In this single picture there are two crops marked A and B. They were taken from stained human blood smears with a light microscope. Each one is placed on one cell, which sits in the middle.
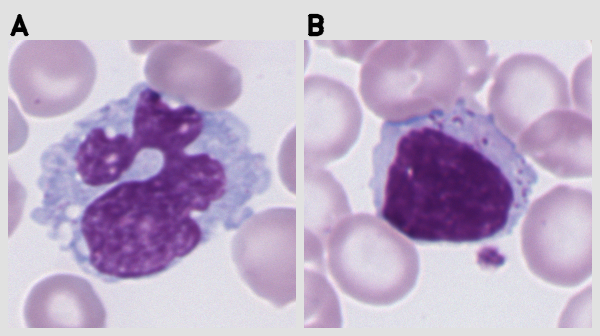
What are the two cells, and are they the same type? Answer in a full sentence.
No, crop A matches a monocyte and crop B matches a large granular lymphocyte.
